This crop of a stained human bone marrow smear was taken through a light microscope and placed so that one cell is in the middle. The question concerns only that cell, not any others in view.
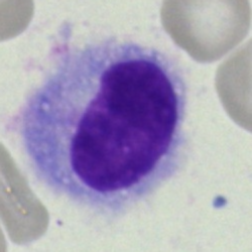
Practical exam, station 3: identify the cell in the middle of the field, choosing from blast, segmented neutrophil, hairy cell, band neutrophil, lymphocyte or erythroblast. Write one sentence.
The cell at the middle of the crop is recognized as a hairy cell.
